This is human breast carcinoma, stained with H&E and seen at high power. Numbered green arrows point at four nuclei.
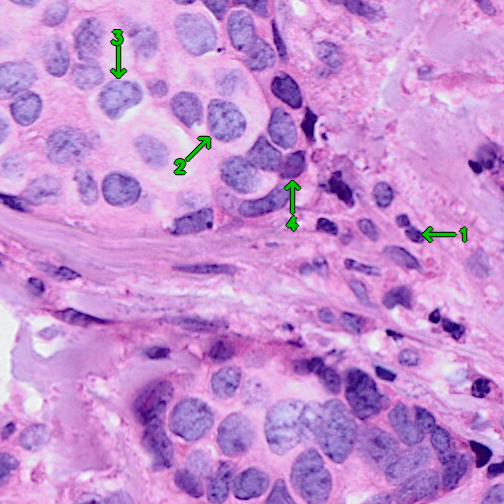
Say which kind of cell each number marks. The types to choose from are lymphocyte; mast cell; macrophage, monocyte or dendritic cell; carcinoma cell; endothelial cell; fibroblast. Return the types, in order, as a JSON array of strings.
["lymphocyte", "carcinoma cell", "carcinoma cell", "carcinoma cell"]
